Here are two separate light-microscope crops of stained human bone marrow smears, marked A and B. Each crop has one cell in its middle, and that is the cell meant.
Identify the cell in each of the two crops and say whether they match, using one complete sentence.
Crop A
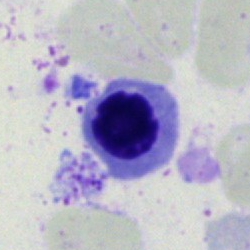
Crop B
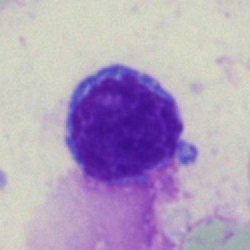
No, in crop B the central cell is a lymphocyte, and in crop A it is a normoblast.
